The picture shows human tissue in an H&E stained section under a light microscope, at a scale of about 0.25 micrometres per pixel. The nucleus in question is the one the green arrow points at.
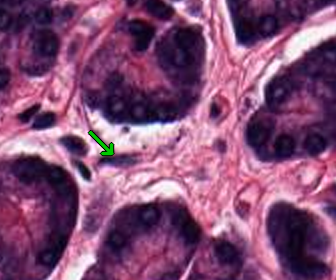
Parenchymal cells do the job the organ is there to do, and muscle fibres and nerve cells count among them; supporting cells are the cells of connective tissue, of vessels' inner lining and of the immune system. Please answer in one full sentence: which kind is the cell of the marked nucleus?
The marked nucleus in this section is part of a supporting cell.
